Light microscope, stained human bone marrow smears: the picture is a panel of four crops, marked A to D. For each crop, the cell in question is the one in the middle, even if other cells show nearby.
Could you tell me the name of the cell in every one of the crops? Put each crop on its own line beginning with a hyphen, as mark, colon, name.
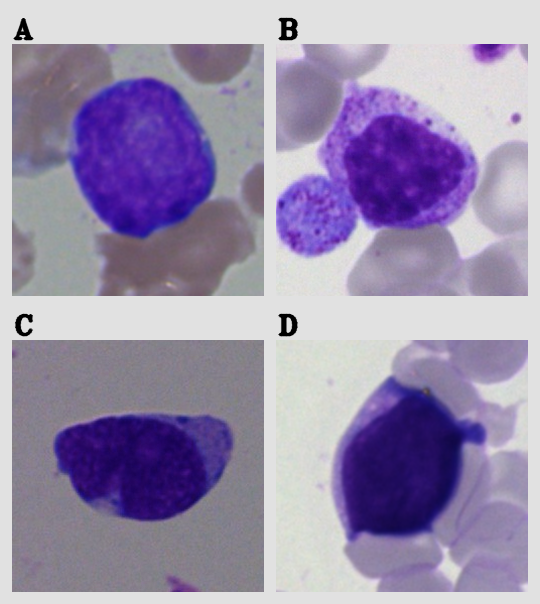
- A: blast
- B: myelocyte
- C: blast
- D: blast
